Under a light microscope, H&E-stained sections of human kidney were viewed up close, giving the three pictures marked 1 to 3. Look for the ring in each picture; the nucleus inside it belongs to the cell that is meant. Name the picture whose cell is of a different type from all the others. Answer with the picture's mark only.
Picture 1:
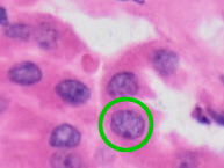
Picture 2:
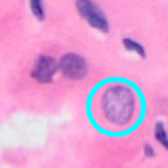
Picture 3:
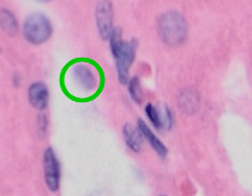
3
